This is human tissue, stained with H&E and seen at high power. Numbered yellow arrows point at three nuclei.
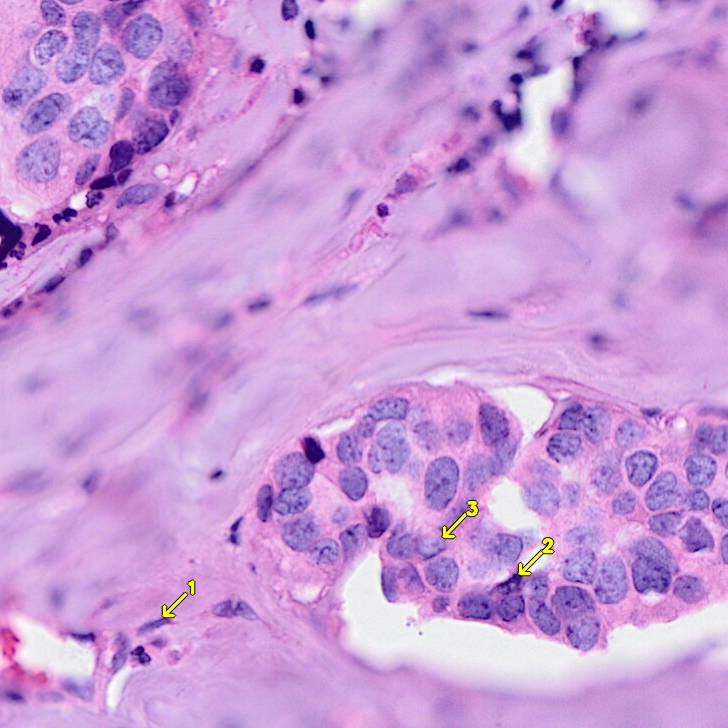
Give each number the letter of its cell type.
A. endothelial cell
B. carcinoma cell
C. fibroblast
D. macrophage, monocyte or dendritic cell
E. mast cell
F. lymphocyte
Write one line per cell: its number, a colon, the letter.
1: C
2: B
3: B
